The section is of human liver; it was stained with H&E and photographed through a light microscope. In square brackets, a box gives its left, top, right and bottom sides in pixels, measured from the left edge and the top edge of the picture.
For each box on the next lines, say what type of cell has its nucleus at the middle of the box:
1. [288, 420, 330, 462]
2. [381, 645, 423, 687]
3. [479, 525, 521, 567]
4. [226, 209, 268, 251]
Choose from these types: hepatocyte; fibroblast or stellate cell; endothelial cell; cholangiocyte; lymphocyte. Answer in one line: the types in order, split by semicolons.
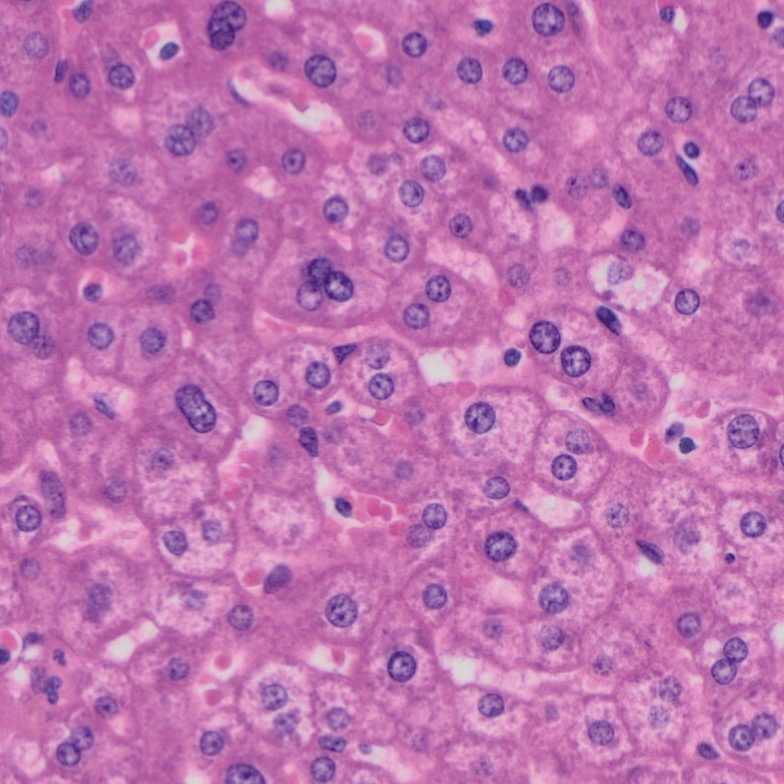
fibroblast or stellate cell; hepatocyte; hepatocyte; hepatocyte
